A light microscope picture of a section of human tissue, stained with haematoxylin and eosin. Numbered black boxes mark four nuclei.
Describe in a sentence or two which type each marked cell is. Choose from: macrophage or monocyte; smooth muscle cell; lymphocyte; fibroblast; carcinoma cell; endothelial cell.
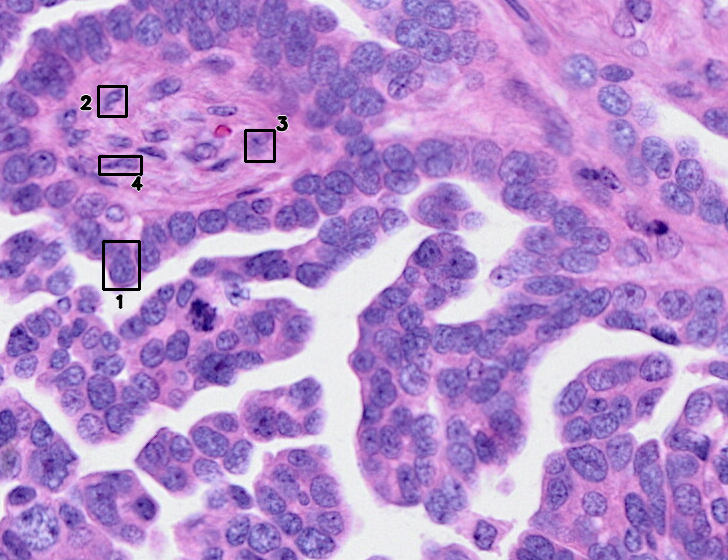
Cell 1 is a carcinoma cell, cell 2 is a fibroblast, cell 3 is a fibroblast and cell 4 is a fibroblast.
